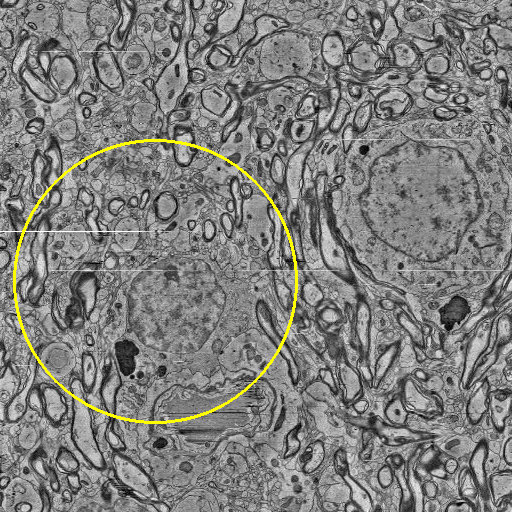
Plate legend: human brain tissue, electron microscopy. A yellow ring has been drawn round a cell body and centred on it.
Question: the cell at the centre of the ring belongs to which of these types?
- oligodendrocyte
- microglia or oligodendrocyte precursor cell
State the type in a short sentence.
The cell in the middle of the ring is an oligodendrocyte.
